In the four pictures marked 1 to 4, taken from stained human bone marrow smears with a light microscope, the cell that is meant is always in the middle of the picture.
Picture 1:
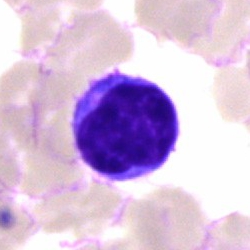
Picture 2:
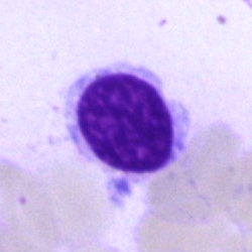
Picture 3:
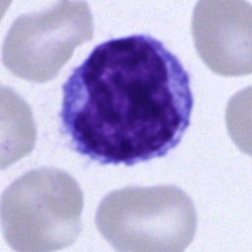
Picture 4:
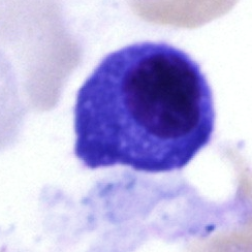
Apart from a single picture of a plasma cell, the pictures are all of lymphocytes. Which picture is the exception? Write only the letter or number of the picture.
4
